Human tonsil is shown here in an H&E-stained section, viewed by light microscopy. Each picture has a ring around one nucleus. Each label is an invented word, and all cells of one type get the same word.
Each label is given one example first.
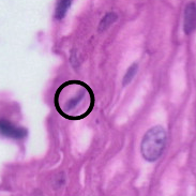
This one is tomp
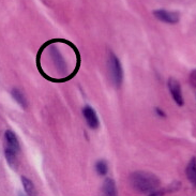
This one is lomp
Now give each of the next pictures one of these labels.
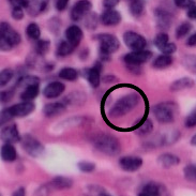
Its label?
lomp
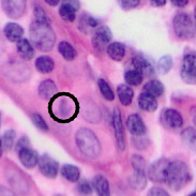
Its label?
lomp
